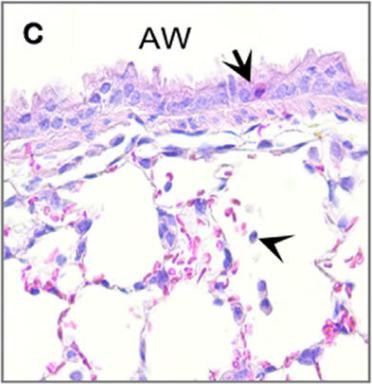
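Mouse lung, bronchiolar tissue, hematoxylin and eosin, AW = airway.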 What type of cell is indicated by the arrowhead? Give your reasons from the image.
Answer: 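Macrophages. A single rounded cell lies free in an air space below the airway wall.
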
